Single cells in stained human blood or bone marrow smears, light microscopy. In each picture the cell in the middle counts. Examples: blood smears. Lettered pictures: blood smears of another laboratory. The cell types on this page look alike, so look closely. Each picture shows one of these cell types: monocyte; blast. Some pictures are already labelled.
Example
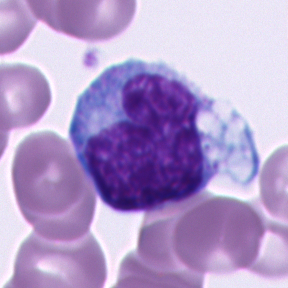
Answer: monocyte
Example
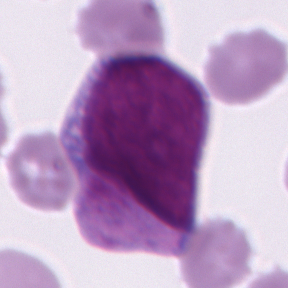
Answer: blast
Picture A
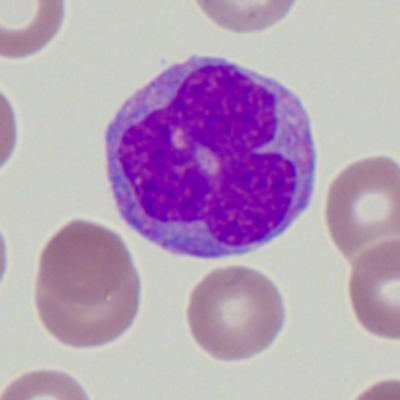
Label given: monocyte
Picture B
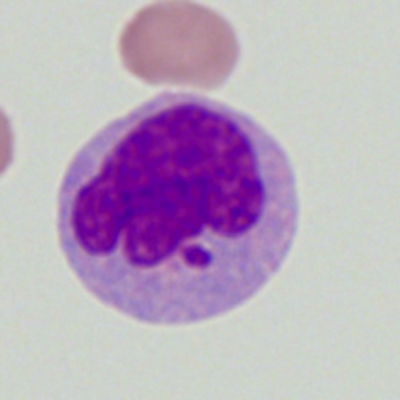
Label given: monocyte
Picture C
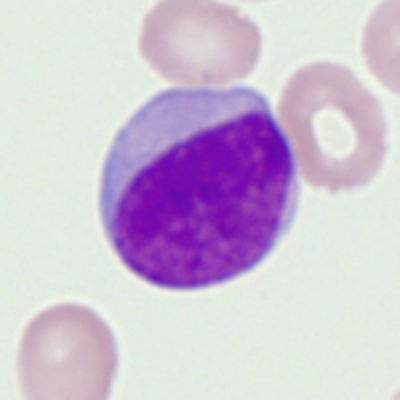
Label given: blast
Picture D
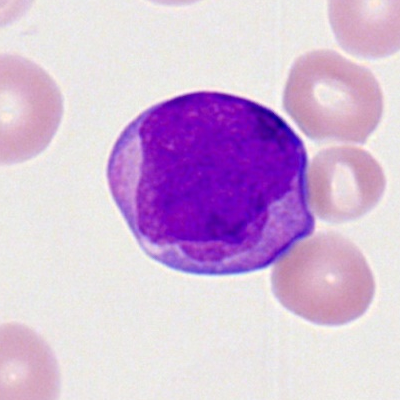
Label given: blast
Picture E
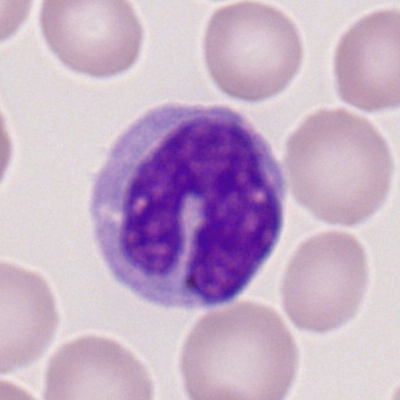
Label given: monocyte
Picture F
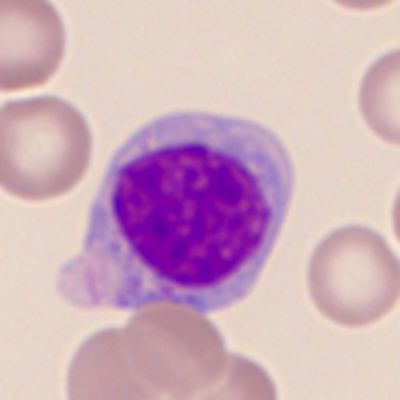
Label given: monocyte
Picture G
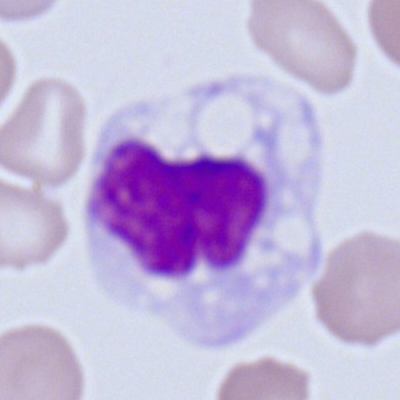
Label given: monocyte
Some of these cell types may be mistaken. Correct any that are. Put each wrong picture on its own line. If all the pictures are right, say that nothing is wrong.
All labels are correct.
